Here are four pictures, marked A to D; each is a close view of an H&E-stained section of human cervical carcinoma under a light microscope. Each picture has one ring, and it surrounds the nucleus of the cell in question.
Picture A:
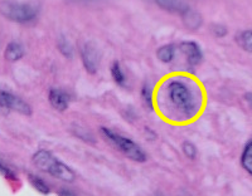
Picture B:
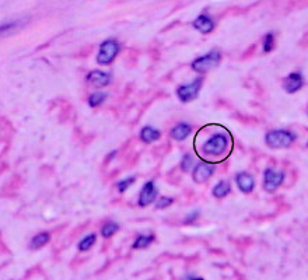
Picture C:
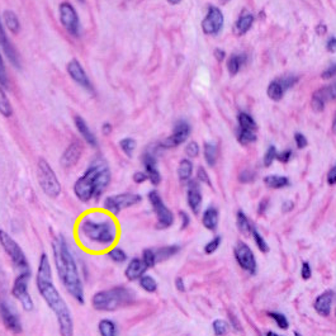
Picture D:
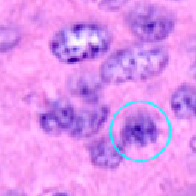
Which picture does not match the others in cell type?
D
